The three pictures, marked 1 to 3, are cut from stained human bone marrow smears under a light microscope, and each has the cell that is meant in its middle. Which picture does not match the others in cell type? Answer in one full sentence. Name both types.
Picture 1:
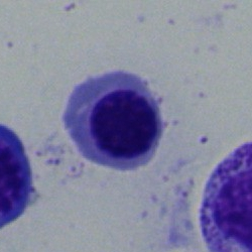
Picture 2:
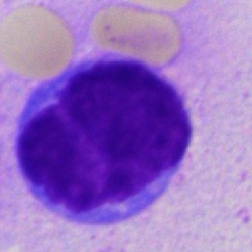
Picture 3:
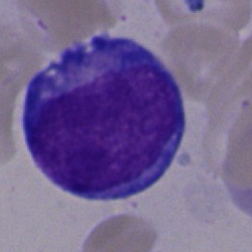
The different one is picture 1; it shows an erythroblast, whereas all the others show blasts.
